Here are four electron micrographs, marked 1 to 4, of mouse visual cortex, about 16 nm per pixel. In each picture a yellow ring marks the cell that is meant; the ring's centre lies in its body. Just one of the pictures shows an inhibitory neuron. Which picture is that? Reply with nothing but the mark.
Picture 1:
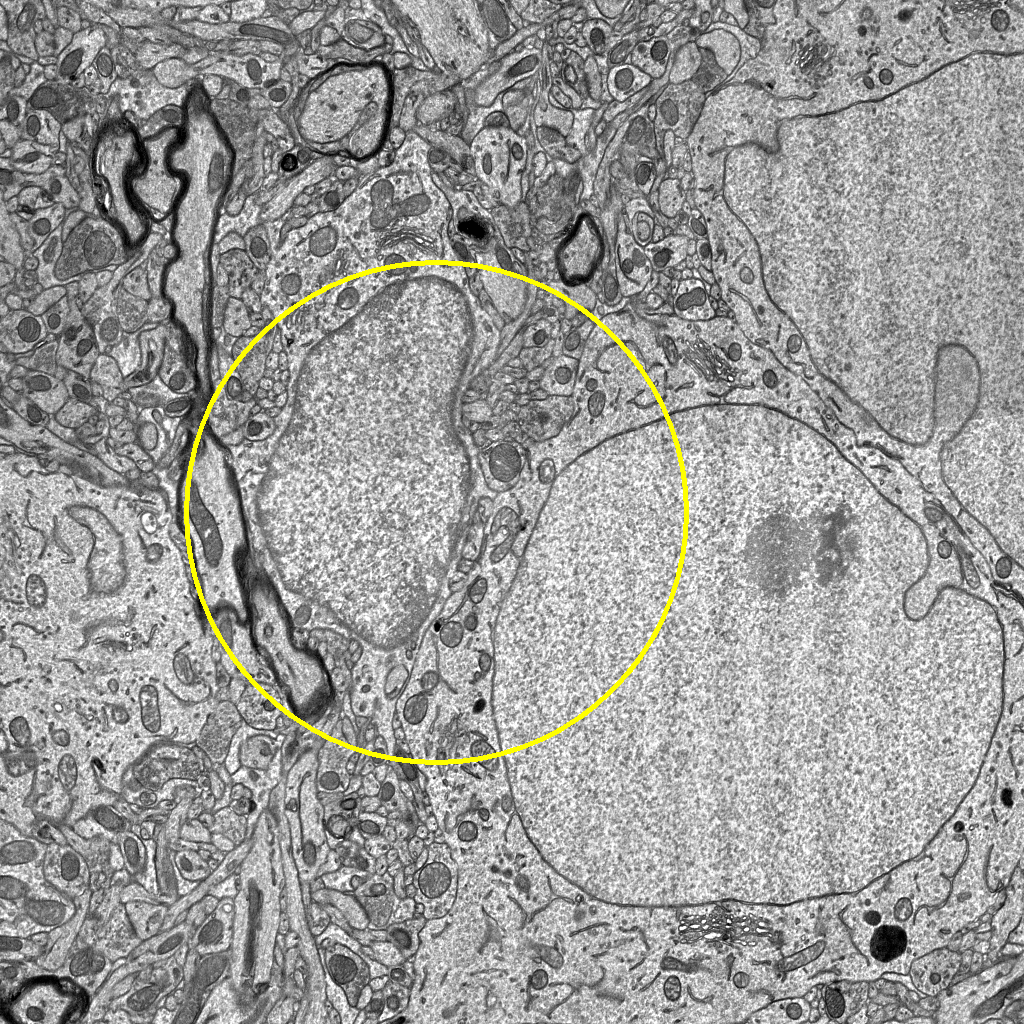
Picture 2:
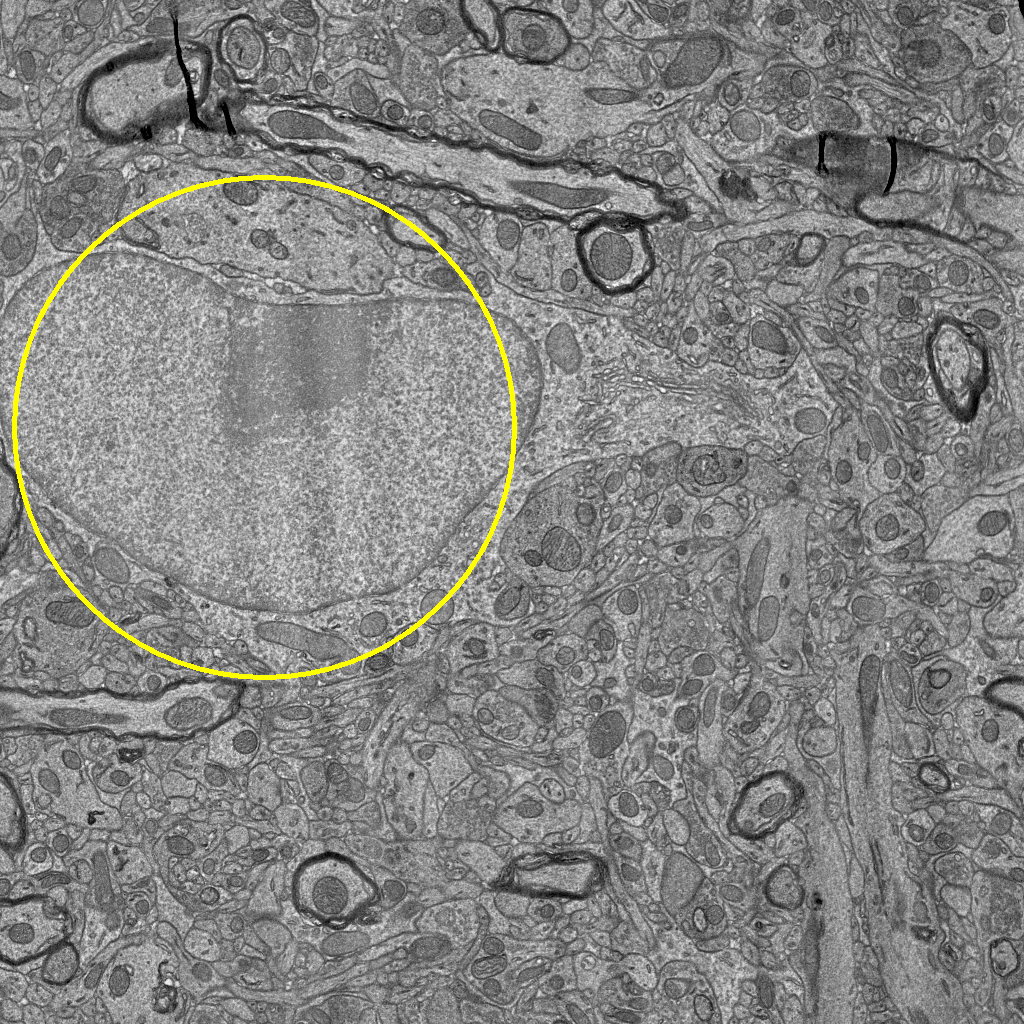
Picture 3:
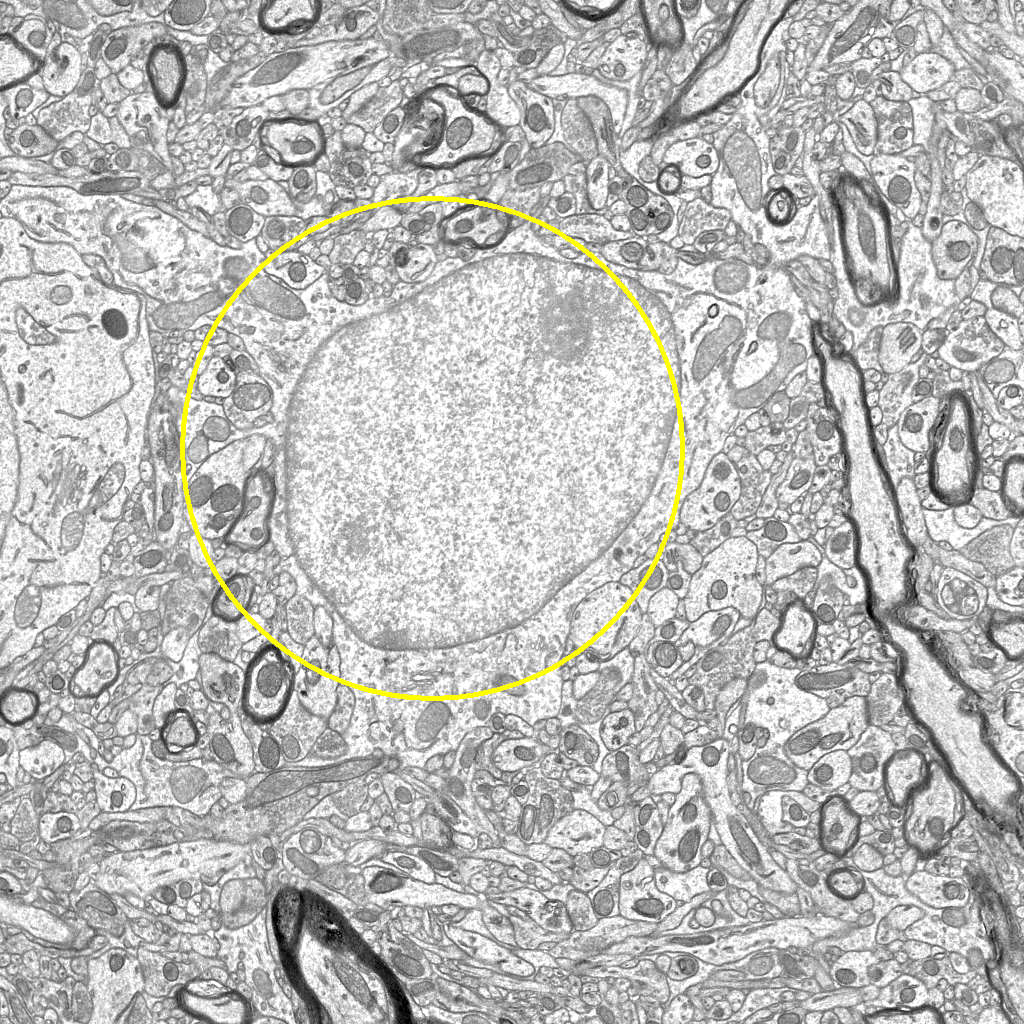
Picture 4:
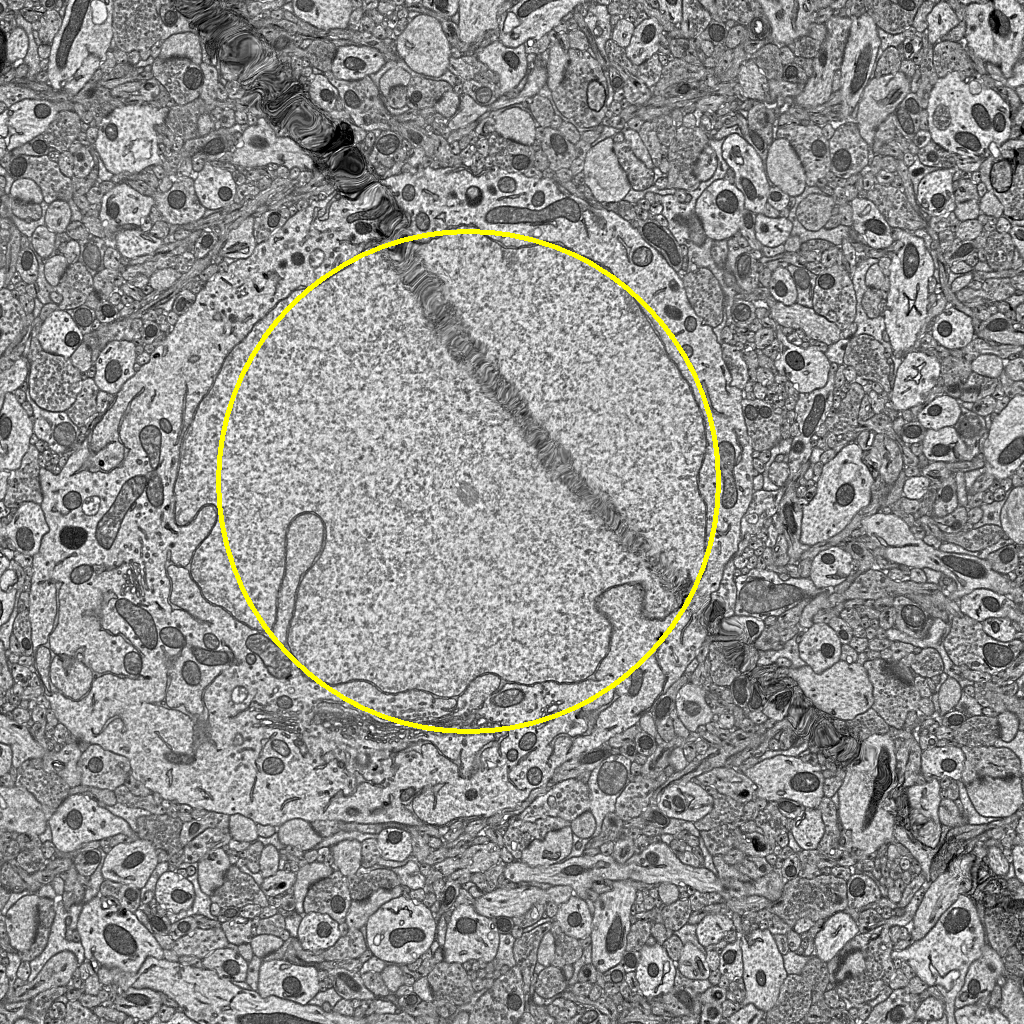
4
